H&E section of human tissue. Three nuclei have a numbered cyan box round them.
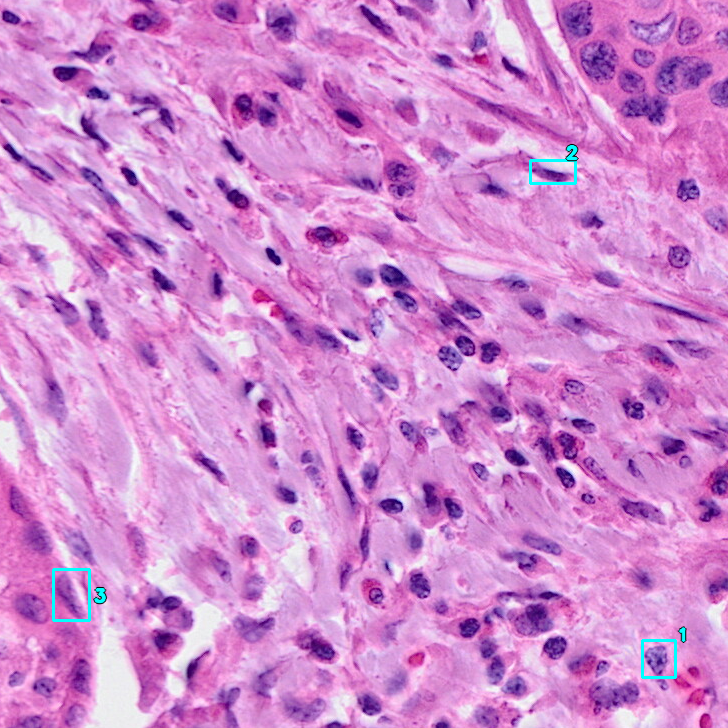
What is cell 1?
lymphocyte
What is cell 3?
squamous carcinoma cell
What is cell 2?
fibroblast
